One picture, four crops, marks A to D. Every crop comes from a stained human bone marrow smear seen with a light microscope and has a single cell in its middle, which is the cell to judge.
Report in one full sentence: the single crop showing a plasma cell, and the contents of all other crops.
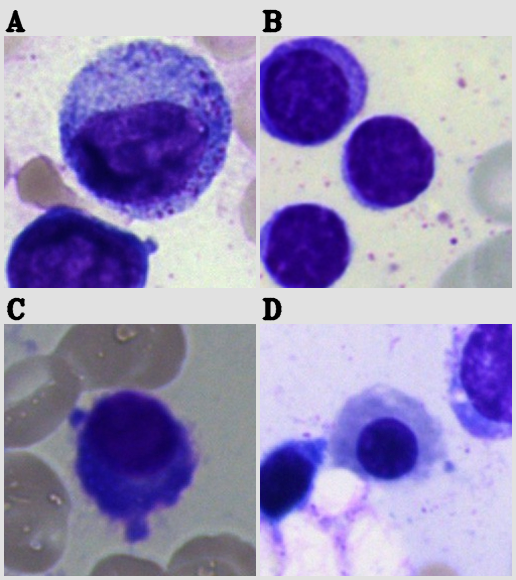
Crop C is classified as a plasma cell, whereas crop A is a promyelocyte, crop B is a lymphocyte and crop D is an erythroblast.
